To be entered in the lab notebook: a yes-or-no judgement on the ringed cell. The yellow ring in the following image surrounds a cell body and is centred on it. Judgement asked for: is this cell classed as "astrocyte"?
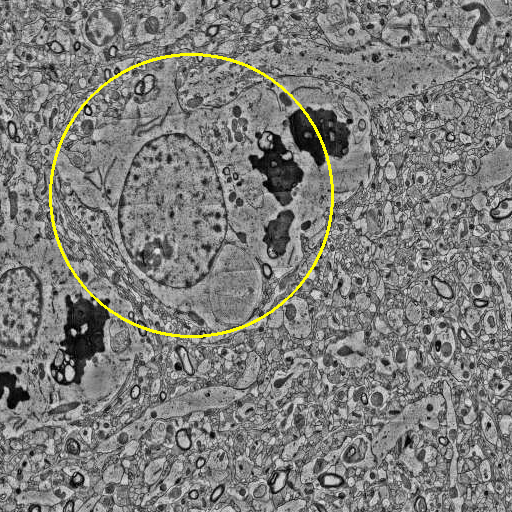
Yes, it is classed that way.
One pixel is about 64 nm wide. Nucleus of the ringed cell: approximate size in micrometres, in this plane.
The nucleus has a long axis of about 10 micrometres and a short axis of about 7 micrometres in this plane.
